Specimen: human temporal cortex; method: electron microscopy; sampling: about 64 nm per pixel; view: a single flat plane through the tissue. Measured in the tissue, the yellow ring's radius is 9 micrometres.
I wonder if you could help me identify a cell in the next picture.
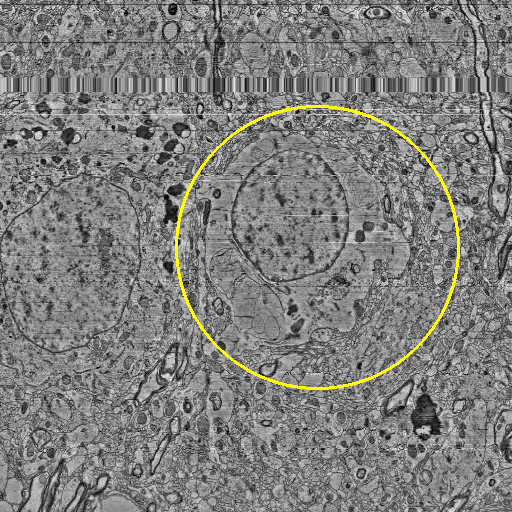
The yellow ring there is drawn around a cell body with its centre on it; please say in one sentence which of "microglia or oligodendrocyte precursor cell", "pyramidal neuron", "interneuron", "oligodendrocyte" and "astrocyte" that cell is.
The yellow ring is centred on an astrocyte.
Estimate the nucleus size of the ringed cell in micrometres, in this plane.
In this plane the nucleus spans approximately 9 by 7 micrometers.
